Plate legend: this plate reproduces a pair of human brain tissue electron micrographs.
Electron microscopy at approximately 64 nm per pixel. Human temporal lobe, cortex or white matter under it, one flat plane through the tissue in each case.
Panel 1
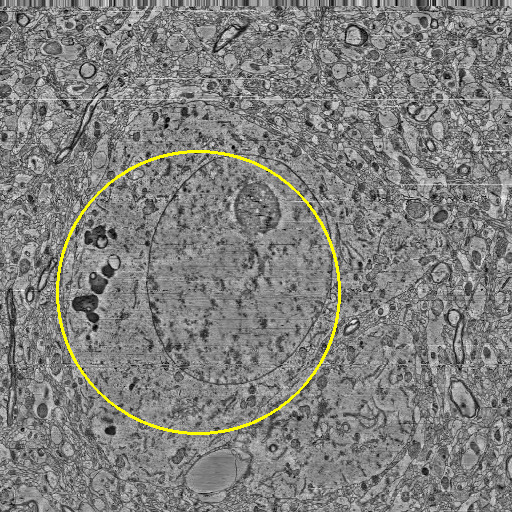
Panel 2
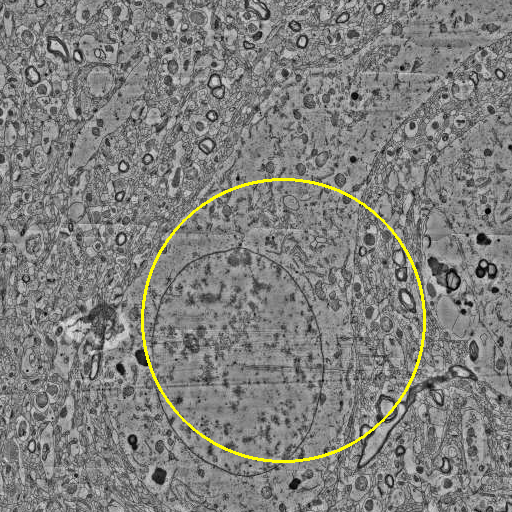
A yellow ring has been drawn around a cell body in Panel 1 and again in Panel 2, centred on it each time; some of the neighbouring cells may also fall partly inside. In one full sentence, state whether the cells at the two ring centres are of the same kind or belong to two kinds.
The ring-centred cells of Panel 1 and Panel 2 are of the same kind.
